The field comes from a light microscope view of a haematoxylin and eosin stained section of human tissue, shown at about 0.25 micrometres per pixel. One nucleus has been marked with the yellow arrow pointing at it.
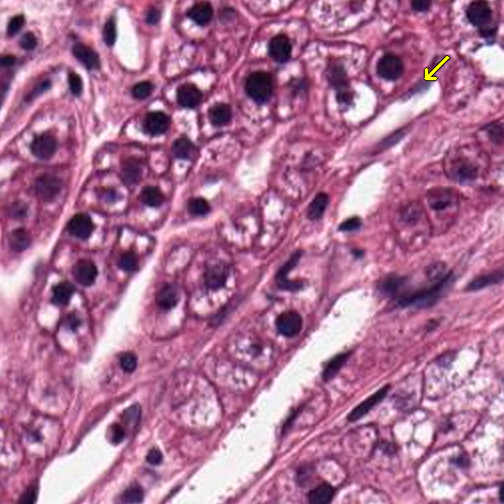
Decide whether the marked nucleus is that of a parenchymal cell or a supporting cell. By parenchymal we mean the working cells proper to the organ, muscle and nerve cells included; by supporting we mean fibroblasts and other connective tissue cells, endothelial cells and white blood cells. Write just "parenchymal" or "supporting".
supporting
